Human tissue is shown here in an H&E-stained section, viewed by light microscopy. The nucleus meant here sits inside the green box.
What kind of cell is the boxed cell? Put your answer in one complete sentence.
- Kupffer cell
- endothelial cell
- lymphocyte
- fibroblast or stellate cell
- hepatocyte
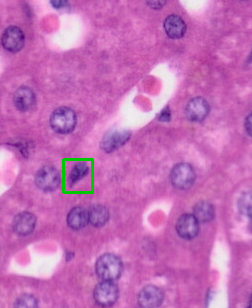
This is a fibroblast or stellate cell.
